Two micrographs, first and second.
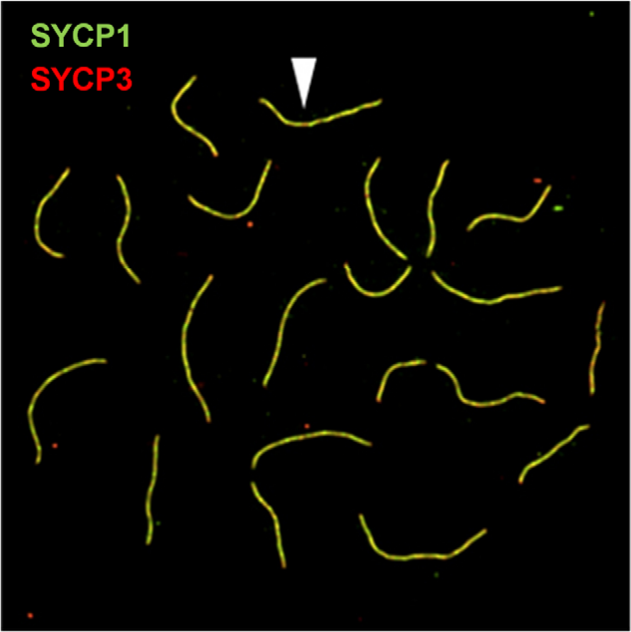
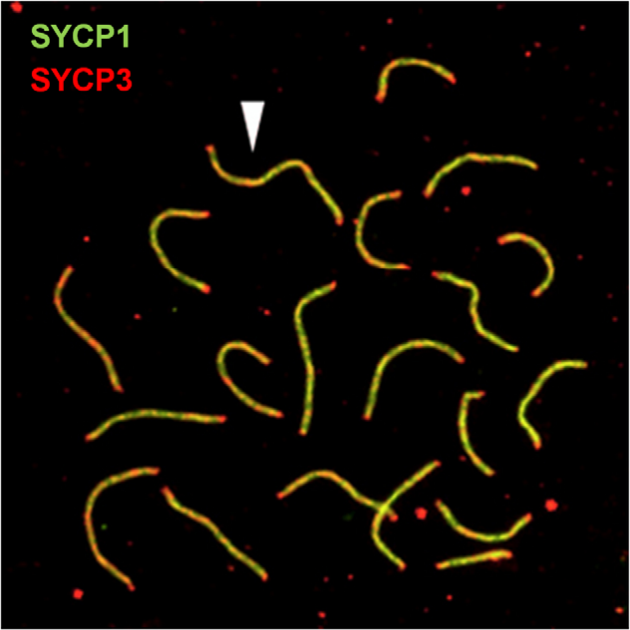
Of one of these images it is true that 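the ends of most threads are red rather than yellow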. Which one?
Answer: The second image.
